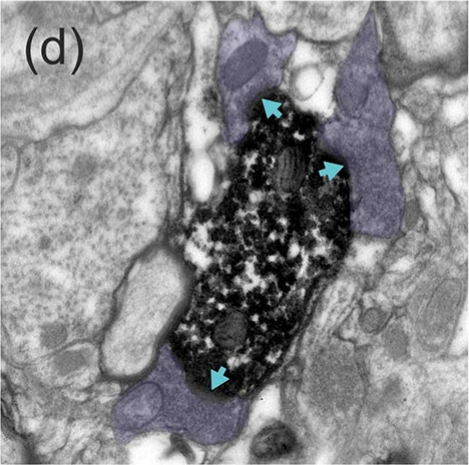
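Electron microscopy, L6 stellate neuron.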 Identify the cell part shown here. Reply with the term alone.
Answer: Dendrites.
